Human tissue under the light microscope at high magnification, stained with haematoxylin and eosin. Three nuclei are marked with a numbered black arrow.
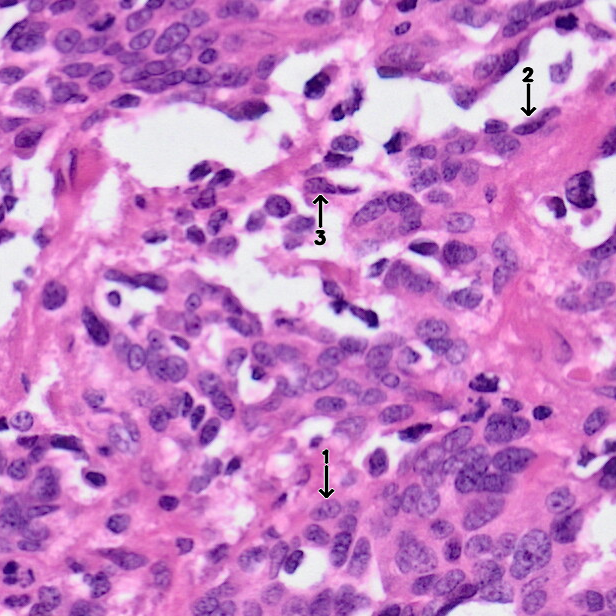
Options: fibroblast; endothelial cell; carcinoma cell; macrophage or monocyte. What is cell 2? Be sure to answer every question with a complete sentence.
Among the marked cells, number 2 is a carcinoma cell.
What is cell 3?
The cell tagged with 3 in this tissue section is a macrophage or monocyte.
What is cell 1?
The numeral 1 marks a carcinoma cell in this section.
